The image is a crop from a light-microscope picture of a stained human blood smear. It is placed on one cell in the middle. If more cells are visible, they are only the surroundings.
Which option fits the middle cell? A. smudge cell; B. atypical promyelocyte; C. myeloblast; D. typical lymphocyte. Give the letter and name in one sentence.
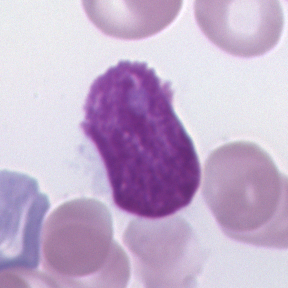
Here the central cell is a smudge cell, and option A is correct.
